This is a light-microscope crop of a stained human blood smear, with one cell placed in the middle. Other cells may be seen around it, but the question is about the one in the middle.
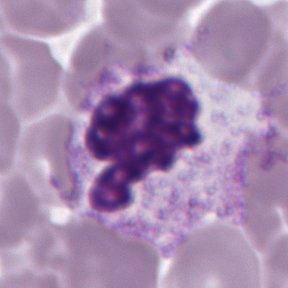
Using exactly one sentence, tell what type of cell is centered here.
Seen at the centre of the crop is a segmented neutrophil.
